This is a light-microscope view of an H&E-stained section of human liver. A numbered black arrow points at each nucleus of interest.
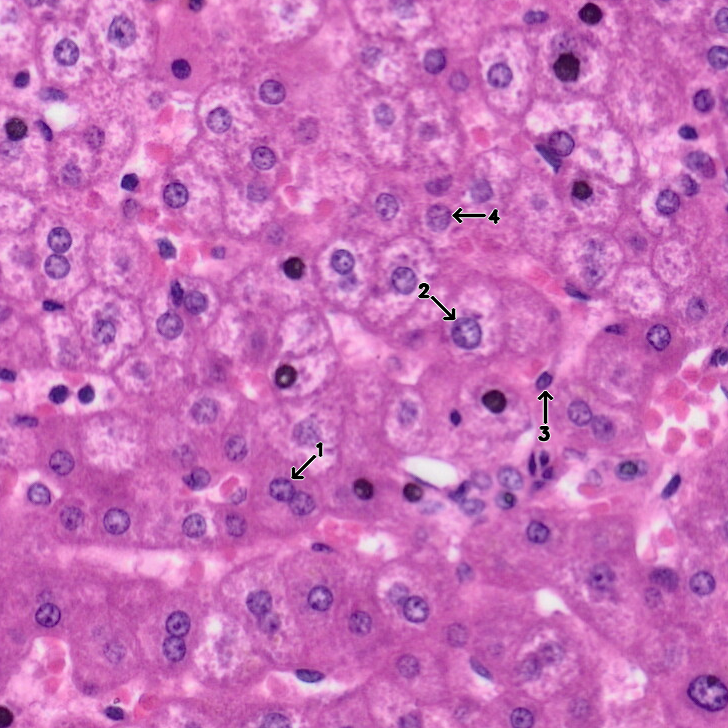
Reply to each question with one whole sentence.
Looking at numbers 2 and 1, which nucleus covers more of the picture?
Of the two, number 2 is bigger and takes up about 1.5 times the area of number 1.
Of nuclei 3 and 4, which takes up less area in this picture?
It is nucleus 3; nucleus 4 has about 2 times its area.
